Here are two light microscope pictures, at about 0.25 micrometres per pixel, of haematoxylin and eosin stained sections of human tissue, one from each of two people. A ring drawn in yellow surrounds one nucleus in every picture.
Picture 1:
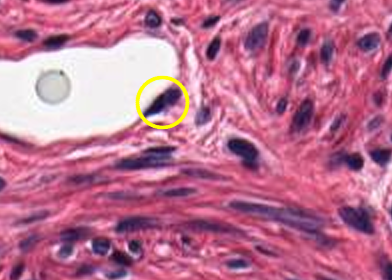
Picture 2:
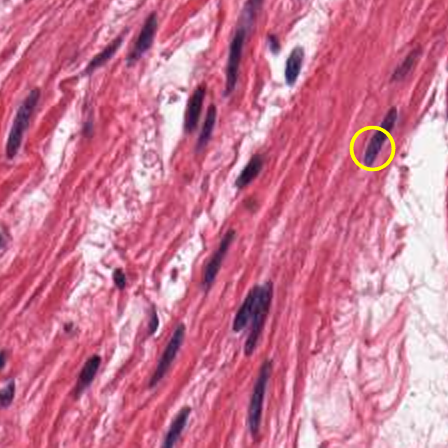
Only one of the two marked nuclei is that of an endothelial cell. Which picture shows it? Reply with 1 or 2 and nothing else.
1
